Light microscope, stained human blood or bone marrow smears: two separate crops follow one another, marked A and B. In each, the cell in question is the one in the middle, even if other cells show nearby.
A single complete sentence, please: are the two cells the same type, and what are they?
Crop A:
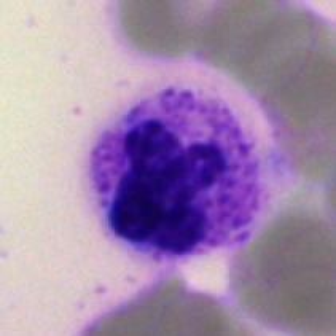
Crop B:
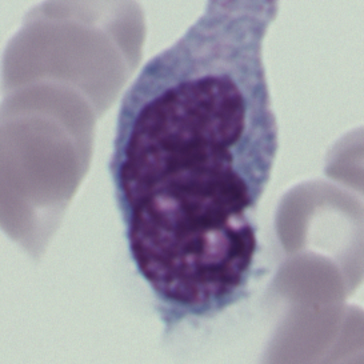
No, the cell that crop A shows is a segmented neutrophil, and the one crop B shows is a monocyte.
